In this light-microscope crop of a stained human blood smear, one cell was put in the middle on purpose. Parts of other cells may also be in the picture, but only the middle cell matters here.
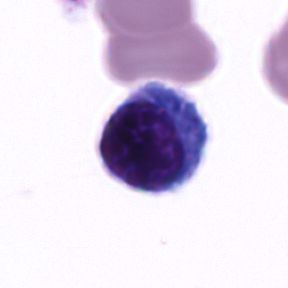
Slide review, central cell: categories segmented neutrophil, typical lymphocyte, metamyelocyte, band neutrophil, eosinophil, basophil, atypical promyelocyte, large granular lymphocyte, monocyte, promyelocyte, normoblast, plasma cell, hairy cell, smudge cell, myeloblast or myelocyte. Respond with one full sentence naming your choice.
The target cell in the middle of the crop is a plasma cell.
